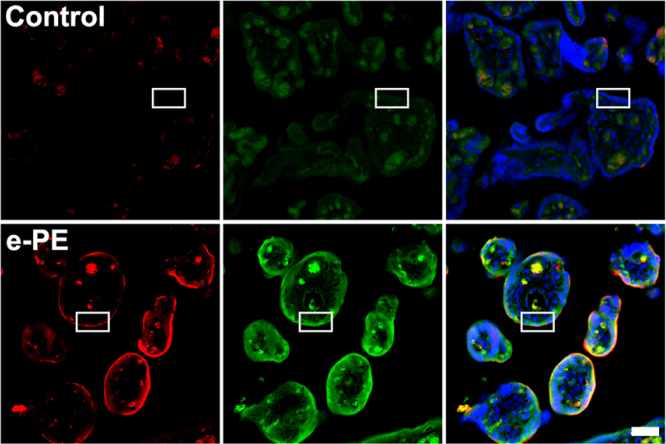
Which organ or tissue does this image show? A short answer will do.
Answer: Placental villi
